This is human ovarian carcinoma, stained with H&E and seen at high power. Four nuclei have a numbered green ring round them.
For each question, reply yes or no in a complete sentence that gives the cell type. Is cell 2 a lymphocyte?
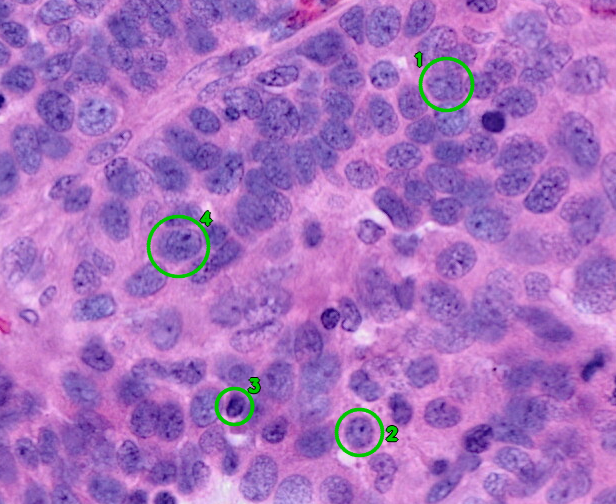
No, cell number 2 is identified as a macrophage or monocyte, not as a lymphocyte.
